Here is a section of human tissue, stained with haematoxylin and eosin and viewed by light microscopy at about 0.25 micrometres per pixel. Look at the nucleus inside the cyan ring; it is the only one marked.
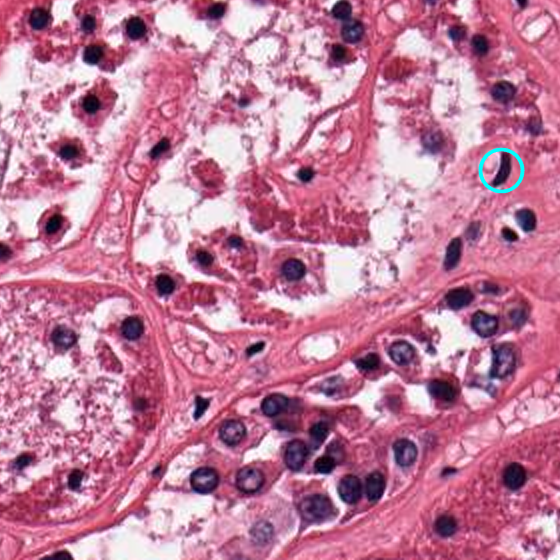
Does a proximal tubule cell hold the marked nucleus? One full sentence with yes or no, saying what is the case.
No, not a proximal tubule cell but a supporting cell is the owner of the marked nucleus.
